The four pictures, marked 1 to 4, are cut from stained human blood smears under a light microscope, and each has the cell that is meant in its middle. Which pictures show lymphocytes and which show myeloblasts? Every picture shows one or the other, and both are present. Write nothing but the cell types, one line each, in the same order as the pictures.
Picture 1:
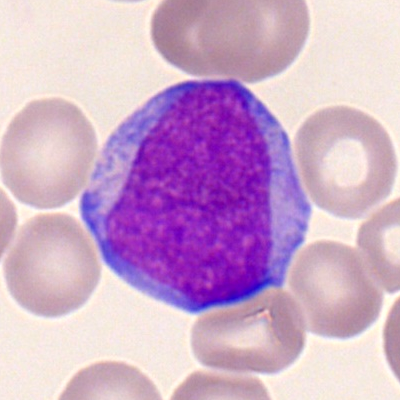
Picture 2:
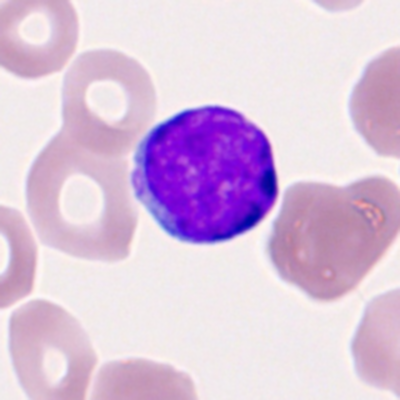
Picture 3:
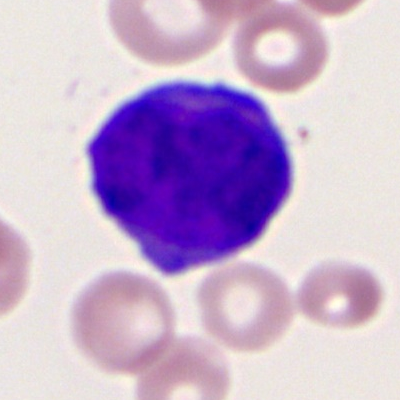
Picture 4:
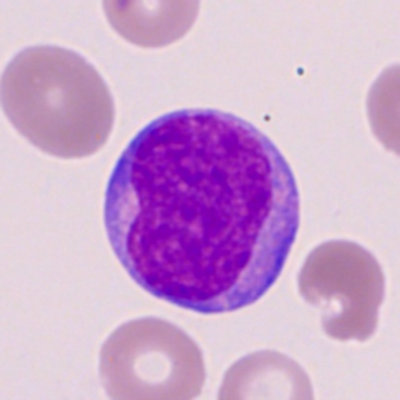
myeloblast
lymphocyte
myeloblast
myeloblast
